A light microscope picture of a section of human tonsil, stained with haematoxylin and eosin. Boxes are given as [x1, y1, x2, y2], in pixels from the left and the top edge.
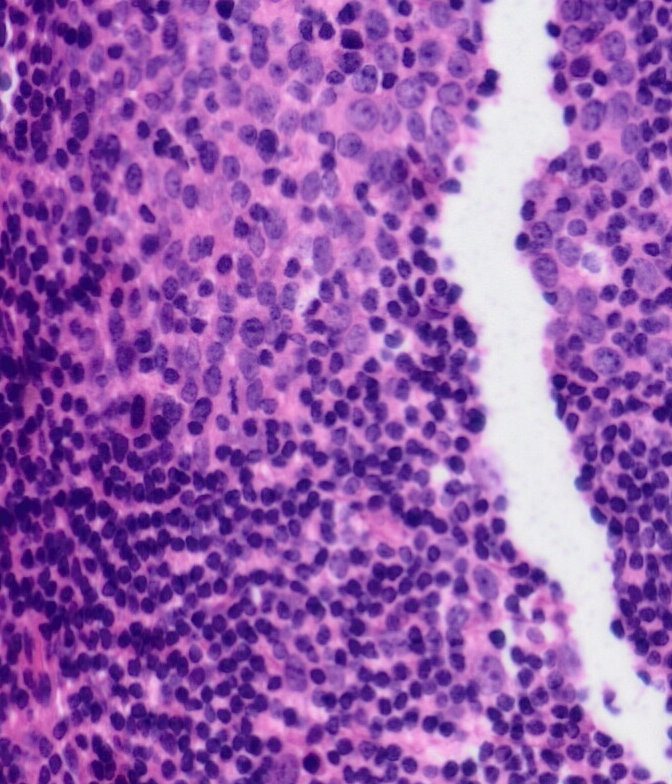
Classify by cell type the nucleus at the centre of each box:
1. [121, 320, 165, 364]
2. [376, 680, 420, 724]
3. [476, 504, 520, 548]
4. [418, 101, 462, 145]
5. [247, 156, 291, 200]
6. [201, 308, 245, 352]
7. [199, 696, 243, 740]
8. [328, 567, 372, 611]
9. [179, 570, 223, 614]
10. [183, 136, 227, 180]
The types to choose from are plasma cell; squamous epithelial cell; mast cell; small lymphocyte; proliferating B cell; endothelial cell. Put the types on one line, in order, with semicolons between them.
proliferating B cell; small lymphocyte; small lymphocyte; proliferating B cell; proliferating B cell; proliferating B cell; small lymphocyte; small lymphocyte; small lymphocyte; proliferating B cell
